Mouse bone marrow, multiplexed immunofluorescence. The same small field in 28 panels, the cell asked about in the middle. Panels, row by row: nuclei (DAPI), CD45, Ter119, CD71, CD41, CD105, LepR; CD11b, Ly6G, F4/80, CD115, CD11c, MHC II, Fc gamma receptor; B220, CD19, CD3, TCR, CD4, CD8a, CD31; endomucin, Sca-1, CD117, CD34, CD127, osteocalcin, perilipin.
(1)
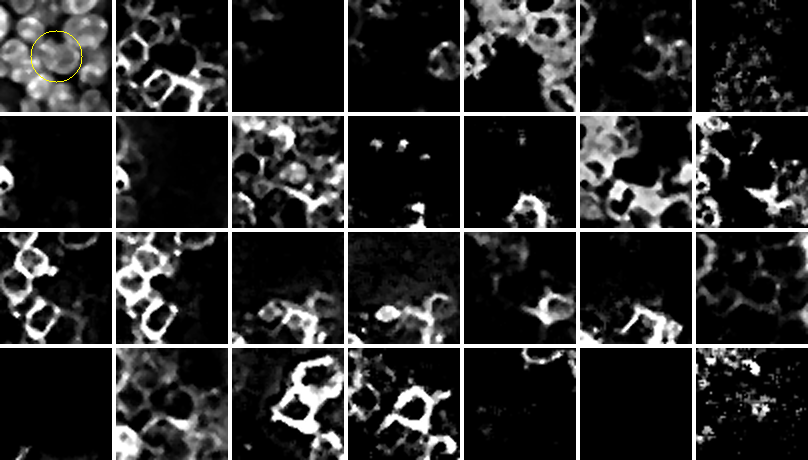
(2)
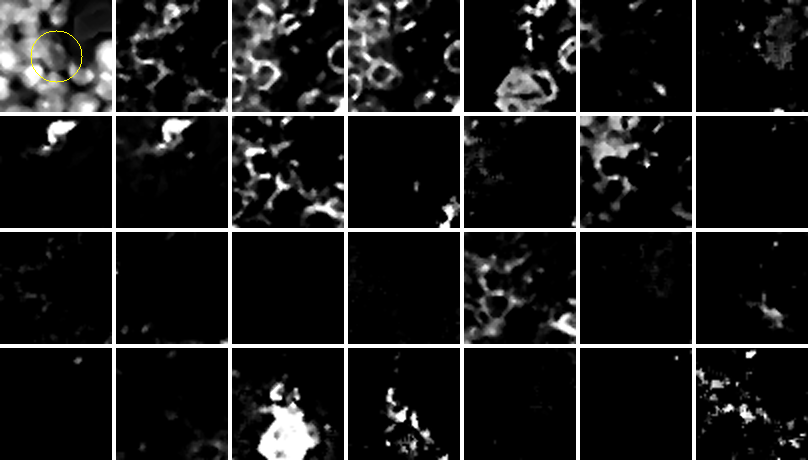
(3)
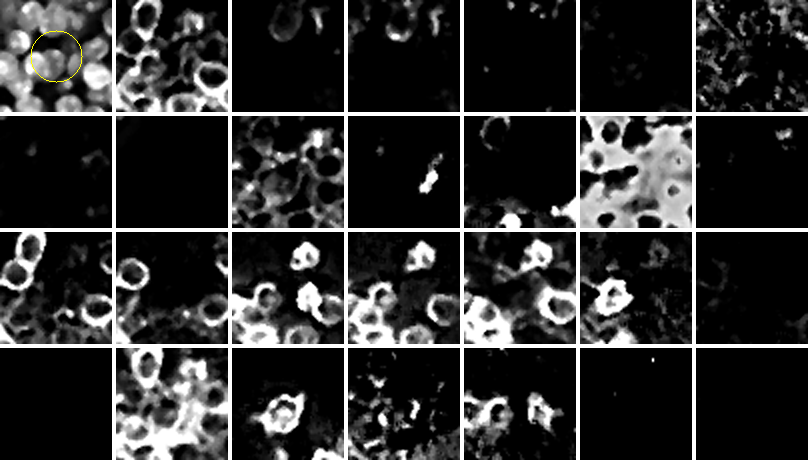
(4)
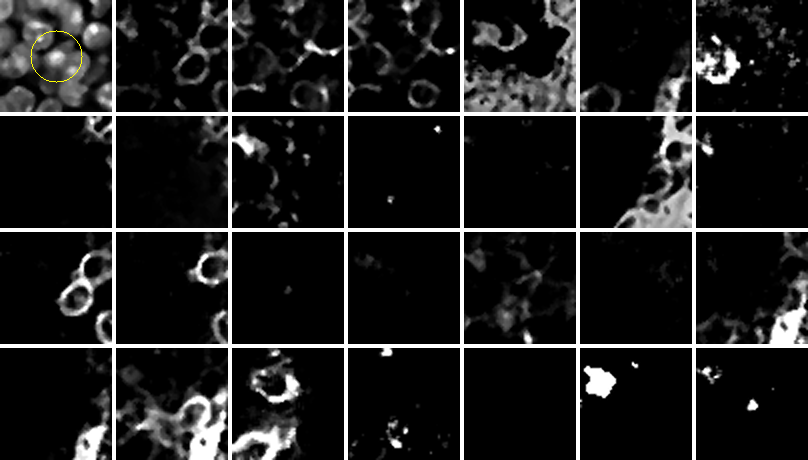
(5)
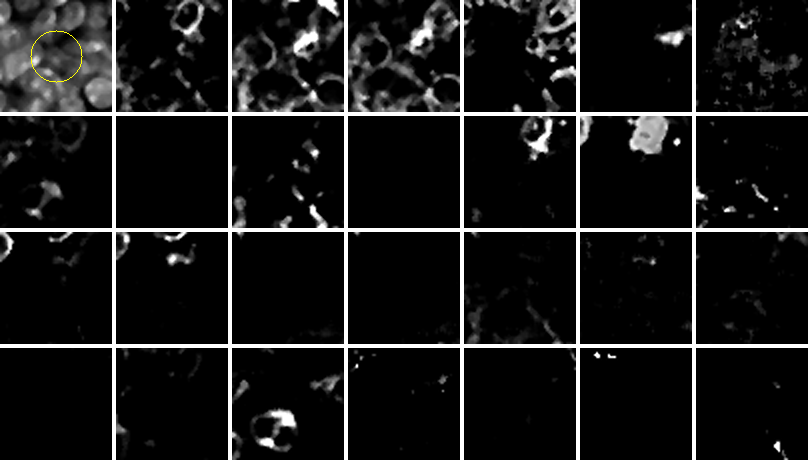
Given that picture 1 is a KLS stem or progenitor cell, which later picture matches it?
3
